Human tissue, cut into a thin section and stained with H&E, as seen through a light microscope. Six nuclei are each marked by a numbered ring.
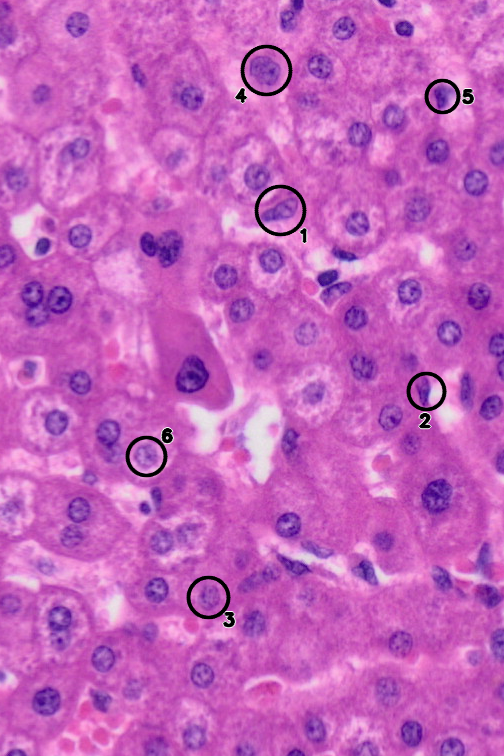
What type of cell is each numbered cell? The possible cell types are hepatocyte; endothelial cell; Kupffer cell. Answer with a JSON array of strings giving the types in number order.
["Kupffer cell", "endothelial cell", "hepatocyte", "Kupffer cell", "endothelial cell", "hepatocyte"]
